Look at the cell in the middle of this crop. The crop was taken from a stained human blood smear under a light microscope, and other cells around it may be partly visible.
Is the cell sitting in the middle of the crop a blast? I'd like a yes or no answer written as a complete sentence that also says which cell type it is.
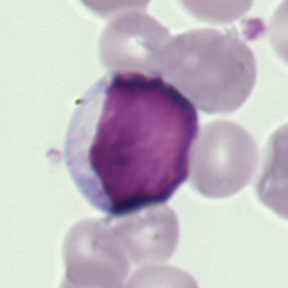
No, the cell at the centre is identified as a large granular lymphocyte, not as a blast.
